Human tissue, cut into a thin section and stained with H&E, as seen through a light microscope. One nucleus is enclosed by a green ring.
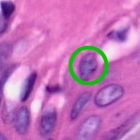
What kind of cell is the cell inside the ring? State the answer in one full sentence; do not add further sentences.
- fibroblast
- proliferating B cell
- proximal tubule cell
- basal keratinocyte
Typologically, the cell inside the ring is a basal keratinocyte in this section.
